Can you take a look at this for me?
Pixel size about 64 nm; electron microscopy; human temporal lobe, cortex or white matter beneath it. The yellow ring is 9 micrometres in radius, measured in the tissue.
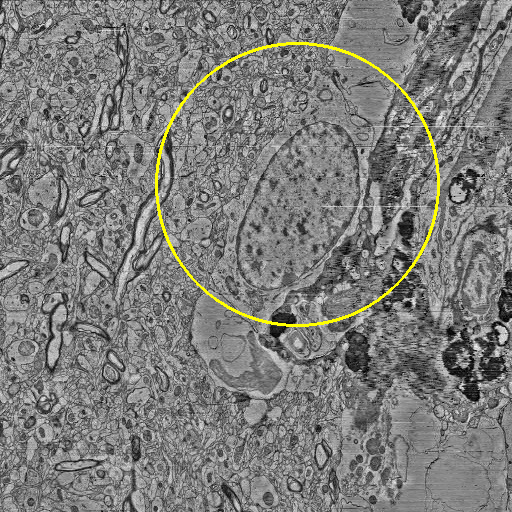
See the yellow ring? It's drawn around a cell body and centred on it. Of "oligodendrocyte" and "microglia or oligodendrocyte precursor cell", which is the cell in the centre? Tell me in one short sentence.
The one in the centre is a microglial cell or oligodendrocyte precursor cell.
